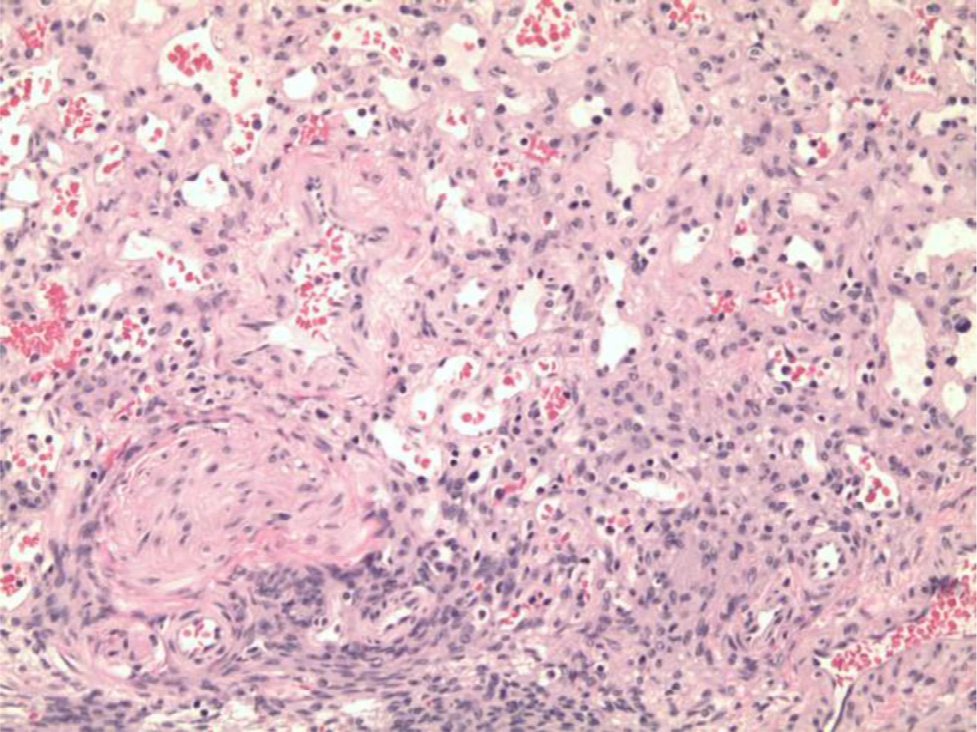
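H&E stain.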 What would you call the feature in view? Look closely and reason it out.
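Many small open channels of varied shape are scattered through the tissue. The channels hold red-staining, anucleate discoid cells. The answer: vascular spaces.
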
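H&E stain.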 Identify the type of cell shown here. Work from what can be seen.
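The lining is one cell thick. On this evidence: endothelial cells.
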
